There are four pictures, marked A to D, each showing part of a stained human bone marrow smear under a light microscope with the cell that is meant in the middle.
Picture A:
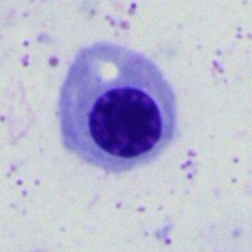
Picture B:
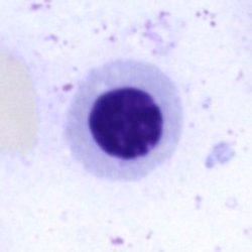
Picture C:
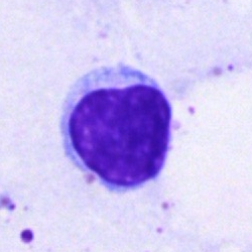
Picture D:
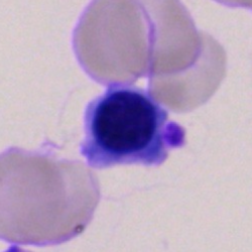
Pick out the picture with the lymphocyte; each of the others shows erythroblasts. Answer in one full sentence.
Picture C is the one that shows the lymphocyte.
